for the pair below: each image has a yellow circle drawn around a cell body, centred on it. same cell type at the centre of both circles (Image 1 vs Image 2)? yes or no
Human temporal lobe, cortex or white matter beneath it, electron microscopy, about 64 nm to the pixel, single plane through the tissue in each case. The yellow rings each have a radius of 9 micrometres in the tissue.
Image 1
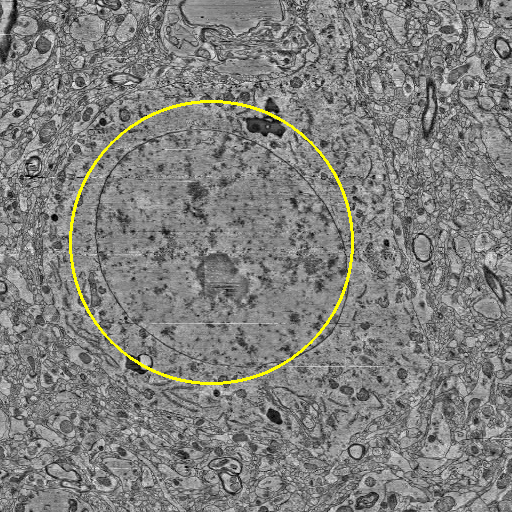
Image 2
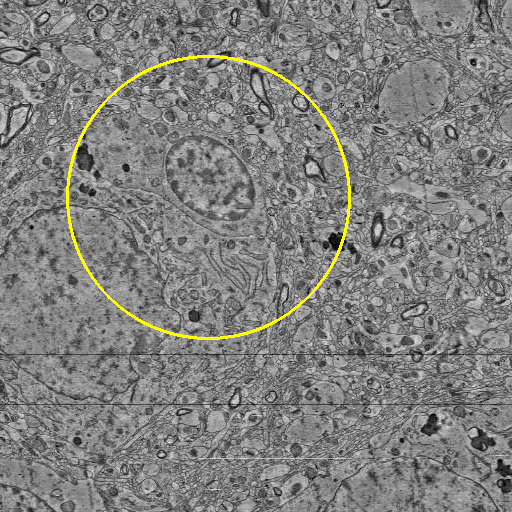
no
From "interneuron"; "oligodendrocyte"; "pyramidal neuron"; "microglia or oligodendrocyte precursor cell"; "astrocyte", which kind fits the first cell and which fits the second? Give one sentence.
The cell marked in the first picture is a pyramidal neuron, and the one marked in the second is an oligodendrocyte.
